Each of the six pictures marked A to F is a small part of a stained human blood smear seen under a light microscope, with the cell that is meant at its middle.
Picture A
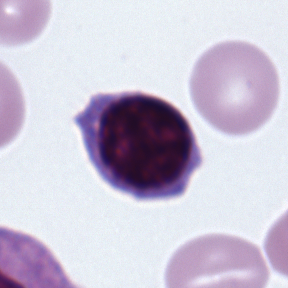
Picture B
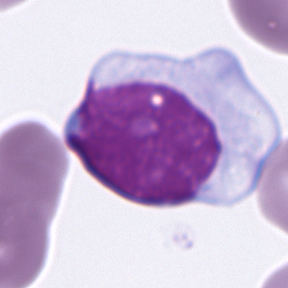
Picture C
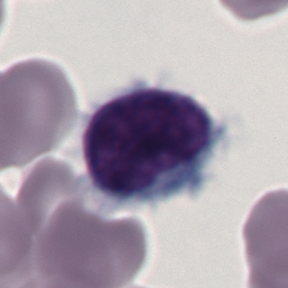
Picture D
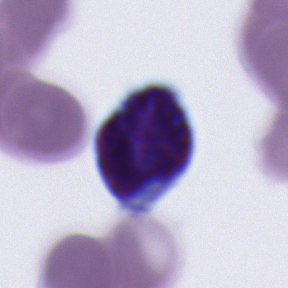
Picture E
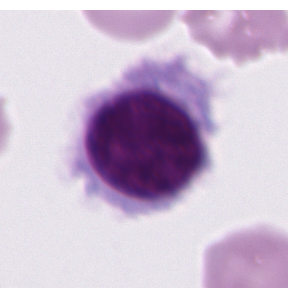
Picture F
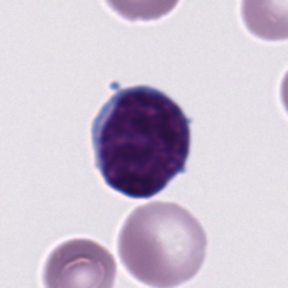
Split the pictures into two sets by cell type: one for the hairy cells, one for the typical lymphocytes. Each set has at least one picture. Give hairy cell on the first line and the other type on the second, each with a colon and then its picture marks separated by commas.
hairy cell: C, E
typical lymphocyte: A, B, D, F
